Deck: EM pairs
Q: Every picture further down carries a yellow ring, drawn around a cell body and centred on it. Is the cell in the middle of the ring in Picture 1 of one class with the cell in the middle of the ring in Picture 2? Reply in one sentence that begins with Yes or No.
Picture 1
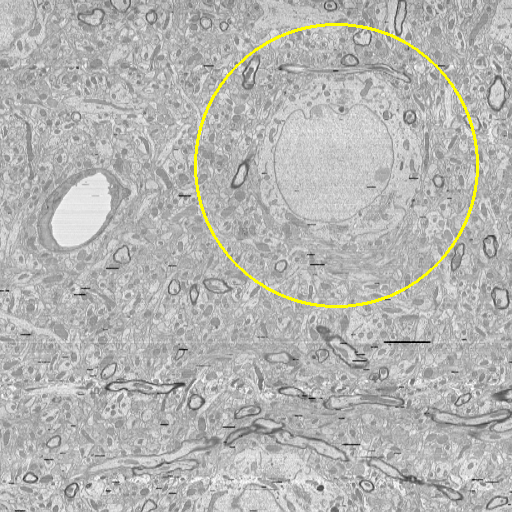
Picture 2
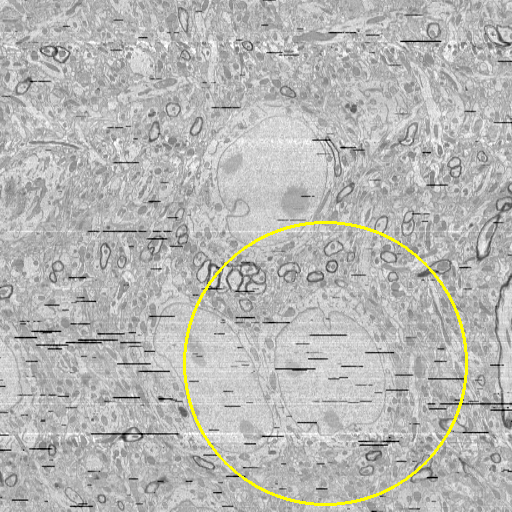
Yes, the cell centred in the ring of Picture 1 and the one in Picture 2 belong to one class.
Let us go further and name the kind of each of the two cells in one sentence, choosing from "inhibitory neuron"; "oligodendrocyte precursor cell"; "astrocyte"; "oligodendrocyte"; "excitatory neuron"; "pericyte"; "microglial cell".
In the first picture and in the second, the ring is centred on an excitatory neuron.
